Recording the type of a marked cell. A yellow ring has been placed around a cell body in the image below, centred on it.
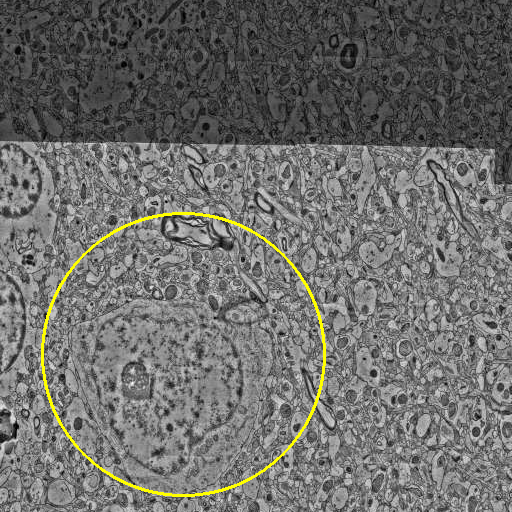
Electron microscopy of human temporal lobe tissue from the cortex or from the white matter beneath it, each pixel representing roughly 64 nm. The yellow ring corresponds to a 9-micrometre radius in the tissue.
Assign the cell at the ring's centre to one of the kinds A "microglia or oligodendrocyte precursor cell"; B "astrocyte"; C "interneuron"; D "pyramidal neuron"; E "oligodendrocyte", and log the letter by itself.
C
